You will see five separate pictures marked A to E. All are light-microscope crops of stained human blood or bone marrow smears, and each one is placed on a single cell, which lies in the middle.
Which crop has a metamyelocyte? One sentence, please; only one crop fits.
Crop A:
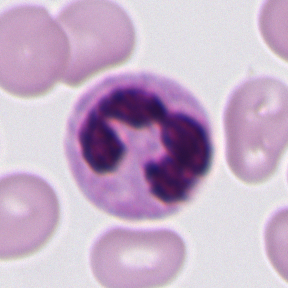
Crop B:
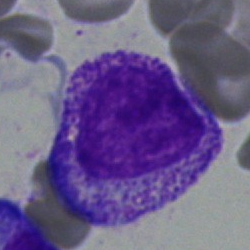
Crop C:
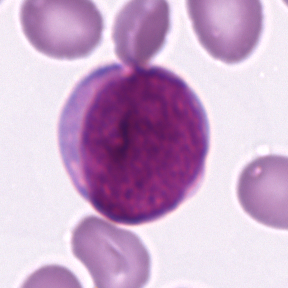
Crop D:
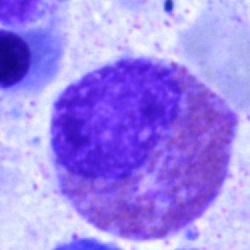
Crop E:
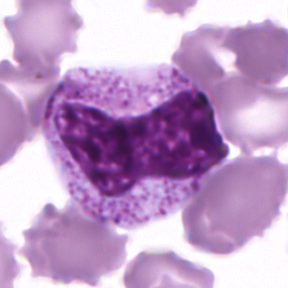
Crop E is the one that shows a metamyelocyte.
